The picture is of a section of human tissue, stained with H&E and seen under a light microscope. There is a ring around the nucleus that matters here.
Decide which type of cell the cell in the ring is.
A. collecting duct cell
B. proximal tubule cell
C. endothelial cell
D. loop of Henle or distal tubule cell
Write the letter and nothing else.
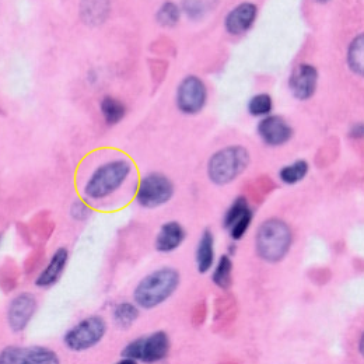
A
